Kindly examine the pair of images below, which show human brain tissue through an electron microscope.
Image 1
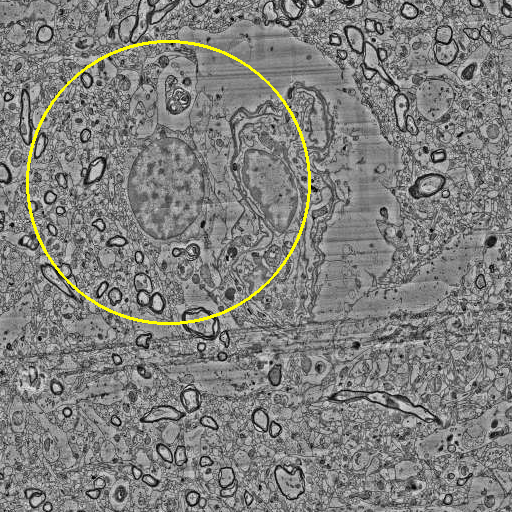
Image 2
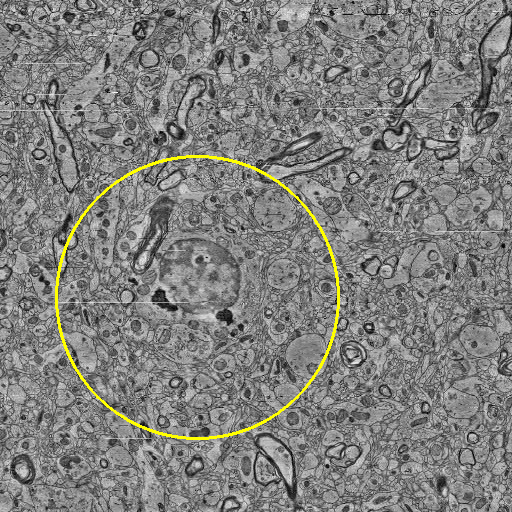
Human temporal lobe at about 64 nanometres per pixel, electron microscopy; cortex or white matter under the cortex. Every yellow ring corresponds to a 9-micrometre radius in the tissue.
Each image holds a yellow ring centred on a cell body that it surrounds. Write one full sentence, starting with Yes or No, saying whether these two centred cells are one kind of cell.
Yes, both cells at the centres of the yellow rings belong to one kind of cell.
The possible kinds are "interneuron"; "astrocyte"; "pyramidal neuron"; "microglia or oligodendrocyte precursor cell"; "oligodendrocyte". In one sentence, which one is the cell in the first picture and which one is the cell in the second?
In the first picture and in the second, the ring is centred on an oligodendrocyte.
